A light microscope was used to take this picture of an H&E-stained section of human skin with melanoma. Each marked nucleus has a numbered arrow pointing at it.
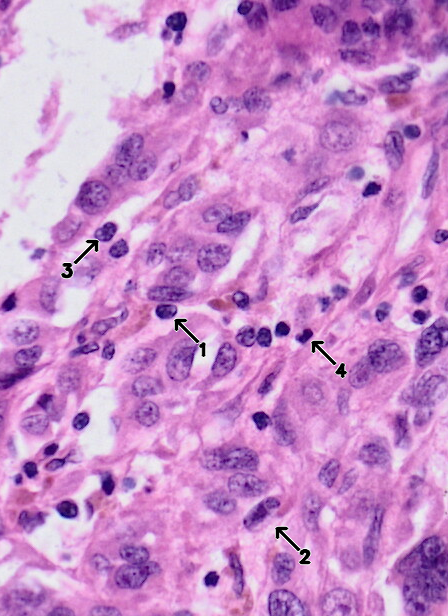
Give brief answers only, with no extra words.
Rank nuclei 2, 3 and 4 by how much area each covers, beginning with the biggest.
2, 3, 4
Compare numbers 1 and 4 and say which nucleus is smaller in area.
4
